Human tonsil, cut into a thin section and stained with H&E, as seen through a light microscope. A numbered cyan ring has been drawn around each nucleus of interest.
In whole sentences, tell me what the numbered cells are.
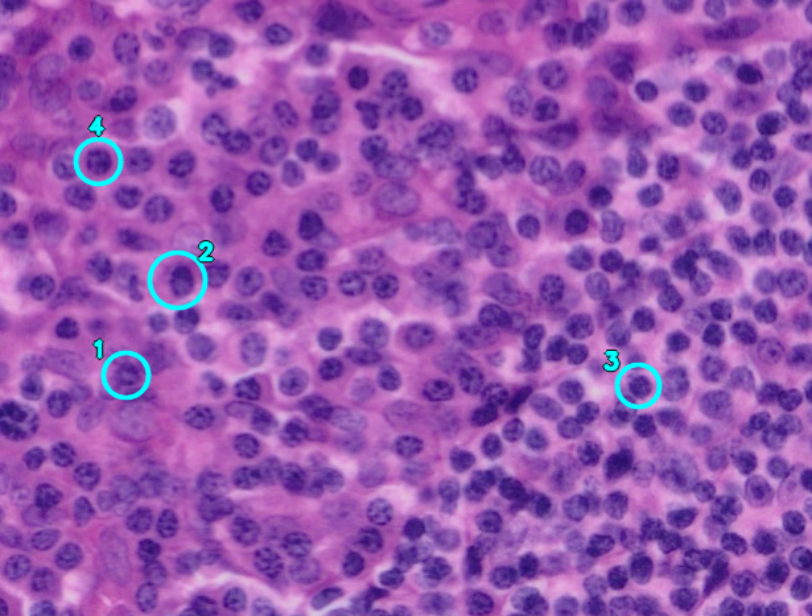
Cell 1 is a plasma cell, cell 2 is a plasma cell, cell 3 is a small lymphocyte and cell 4 is a plasma cell.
